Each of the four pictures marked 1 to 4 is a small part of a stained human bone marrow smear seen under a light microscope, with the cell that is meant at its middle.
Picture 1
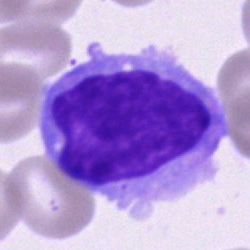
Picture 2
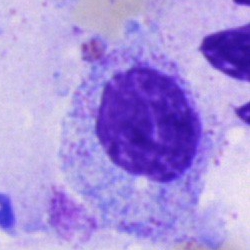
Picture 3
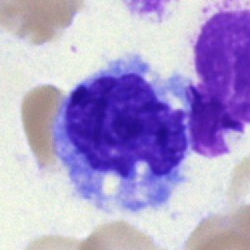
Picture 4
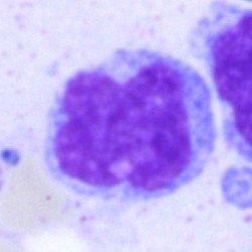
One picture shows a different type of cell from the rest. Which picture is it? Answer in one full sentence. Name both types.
The different one is picture 2; it shows a myelocyte, whereas all the others show monocytes.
